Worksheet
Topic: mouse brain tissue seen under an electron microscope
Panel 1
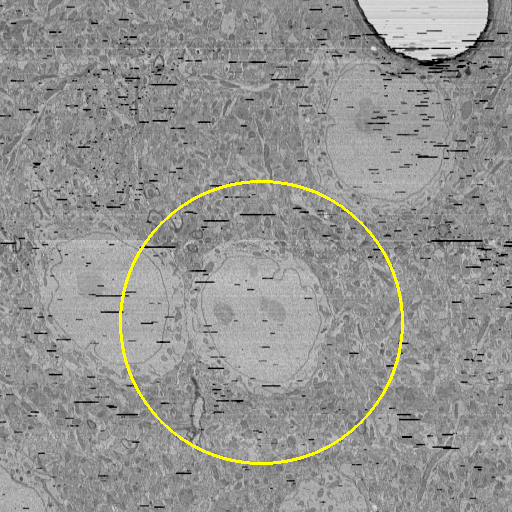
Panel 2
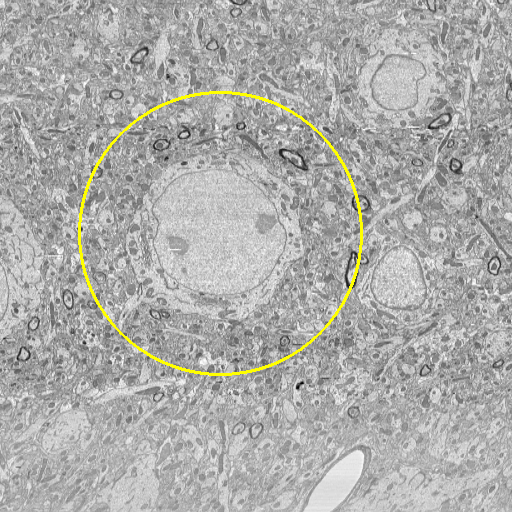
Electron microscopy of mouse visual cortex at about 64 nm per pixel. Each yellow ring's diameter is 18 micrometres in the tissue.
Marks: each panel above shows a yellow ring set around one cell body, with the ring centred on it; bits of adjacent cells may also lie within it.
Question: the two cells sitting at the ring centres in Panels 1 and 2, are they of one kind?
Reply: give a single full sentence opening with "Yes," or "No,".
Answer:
Yes, the two ring-centre cells in Panel 1 and Panel 2 are of one kind.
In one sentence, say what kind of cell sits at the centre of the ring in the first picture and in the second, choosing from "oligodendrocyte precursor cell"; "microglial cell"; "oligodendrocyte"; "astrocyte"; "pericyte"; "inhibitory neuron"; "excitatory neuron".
In both pictures the ring is centred on an excitatory neuron.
